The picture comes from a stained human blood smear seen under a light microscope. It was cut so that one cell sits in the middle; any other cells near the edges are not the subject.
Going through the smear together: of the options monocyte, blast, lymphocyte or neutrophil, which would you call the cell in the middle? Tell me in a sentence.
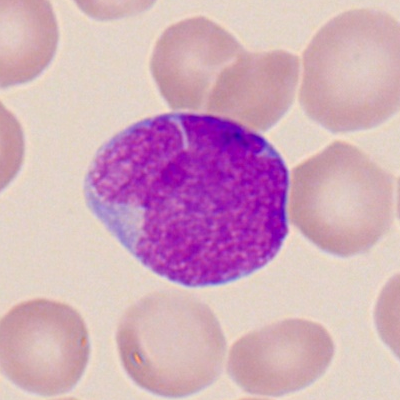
The middle of this crop is occupied by a blast.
